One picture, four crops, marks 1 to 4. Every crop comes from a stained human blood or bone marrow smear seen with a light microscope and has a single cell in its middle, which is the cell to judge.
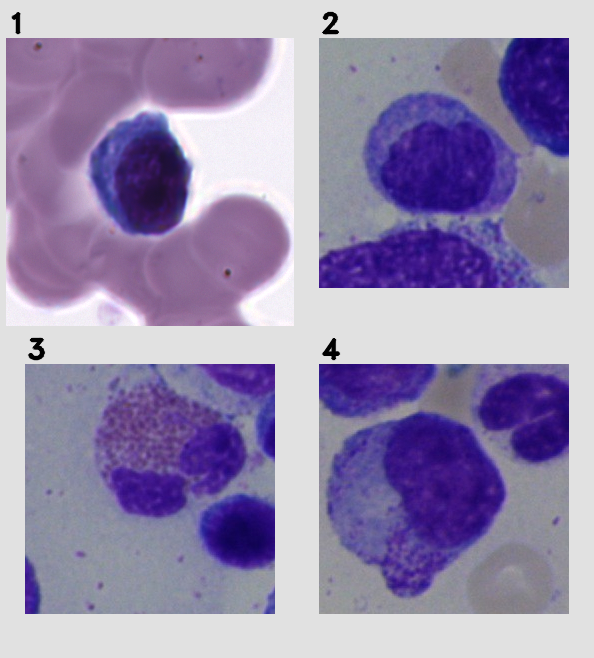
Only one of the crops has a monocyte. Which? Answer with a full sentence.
The cell identified as a monocyte is the one in crop 2.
